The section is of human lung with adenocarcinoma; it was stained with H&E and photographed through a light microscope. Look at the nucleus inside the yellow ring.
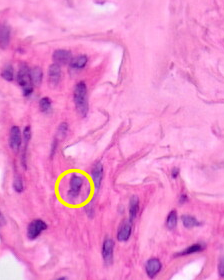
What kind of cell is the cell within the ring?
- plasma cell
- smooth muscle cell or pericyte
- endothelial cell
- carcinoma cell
smooth muscle cell or pericyte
